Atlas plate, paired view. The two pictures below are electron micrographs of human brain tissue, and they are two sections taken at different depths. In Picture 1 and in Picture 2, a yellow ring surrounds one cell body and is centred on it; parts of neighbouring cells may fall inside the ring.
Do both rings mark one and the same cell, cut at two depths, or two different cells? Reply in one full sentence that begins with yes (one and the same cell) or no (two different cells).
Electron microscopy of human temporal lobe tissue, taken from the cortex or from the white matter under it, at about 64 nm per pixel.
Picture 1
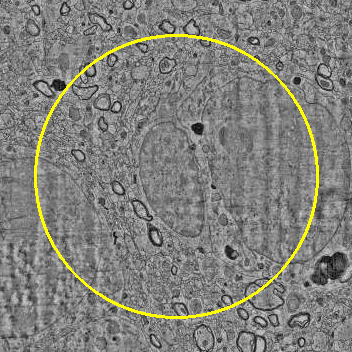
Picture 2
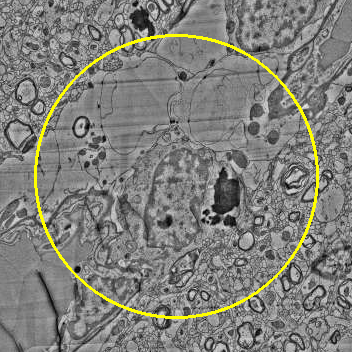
No, two cells, not one, are marked by the yellow rings.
